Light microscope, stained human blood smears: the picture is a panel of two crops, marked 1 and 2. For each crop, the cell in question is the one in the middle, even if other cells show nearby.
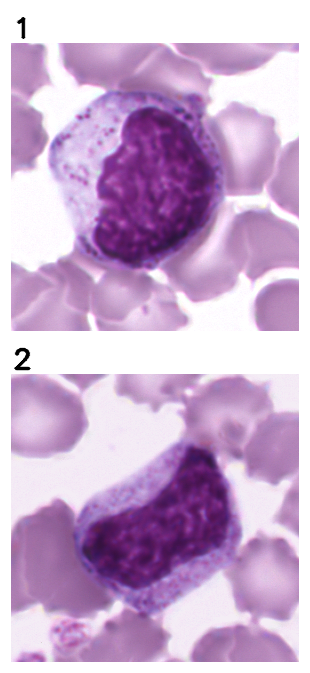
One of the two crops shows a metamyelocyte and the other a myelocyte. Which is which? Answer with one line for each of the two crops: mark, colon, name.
1: myelocyte
2: metamyelocyte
